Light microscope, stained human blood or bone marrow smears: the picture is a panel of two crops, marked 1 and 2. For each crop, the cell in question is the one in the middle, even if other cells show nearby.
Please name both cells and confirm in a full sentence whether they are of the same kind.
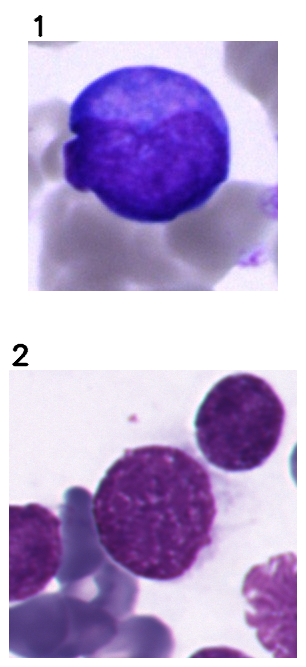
Yes, both crops, not just one, show blasts.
